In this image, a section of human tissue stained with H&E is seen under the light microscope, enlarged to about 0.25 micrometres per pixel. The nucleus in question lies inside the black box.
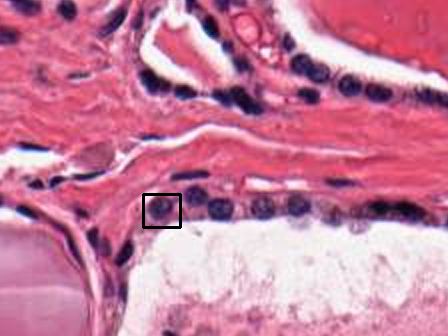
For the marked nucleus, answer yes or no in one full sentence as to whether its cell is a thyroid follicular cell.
Yes, it is a thyroid follicular cell that holds the marked nucleus.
